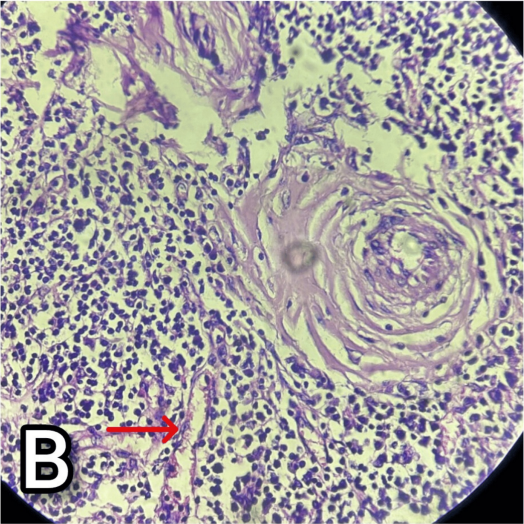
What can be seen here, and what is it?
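Sheets of small dark round lymphoid cells surround a large whorl of pink, glassy, concentrically layered material with a few cells at its centre. Thin pink vessel walls run through the lymphoid cells toward it. These are hyalinised blood vessels passing into a follicle.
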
